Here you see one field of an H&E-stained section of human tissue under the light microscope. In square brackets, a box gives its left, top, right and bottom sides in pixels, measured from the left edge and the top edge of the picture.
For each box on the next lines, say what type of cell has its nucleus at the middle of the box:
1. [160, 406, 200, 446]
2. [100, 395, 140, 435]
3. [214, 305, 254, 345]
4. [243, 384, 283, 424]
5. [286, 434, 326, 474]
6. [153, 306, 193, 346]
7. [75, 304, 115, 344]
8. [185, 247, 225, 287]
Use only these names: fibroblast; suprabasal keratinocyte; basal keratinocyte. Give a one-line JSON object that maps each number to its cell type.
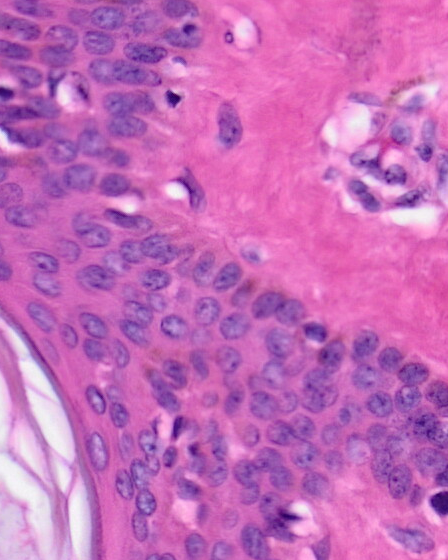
{"1": "basal keratinocyte", "2": "suprabasal keratinocyte", "3": "suprabasal keratinocyte", "4": "suprabasal keratinocyte", "5": "basal keratinocyte", "6": "suprabasal keratinocyte", "7": "suprabasal keratinocyte", "8": "basal keratinocyte"}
